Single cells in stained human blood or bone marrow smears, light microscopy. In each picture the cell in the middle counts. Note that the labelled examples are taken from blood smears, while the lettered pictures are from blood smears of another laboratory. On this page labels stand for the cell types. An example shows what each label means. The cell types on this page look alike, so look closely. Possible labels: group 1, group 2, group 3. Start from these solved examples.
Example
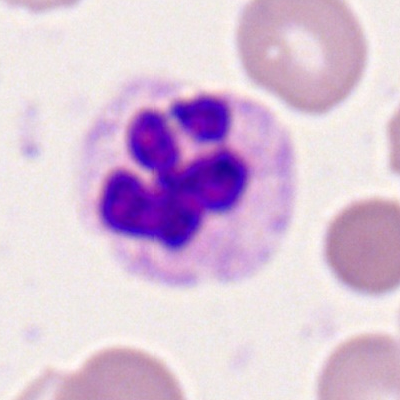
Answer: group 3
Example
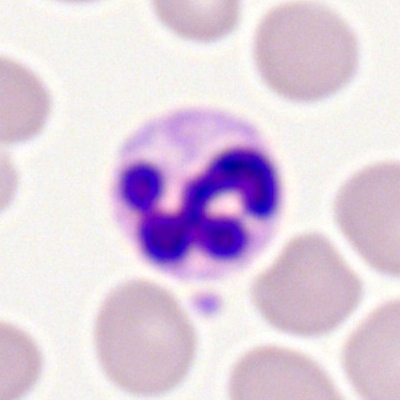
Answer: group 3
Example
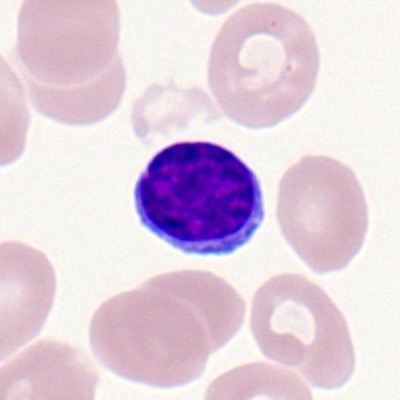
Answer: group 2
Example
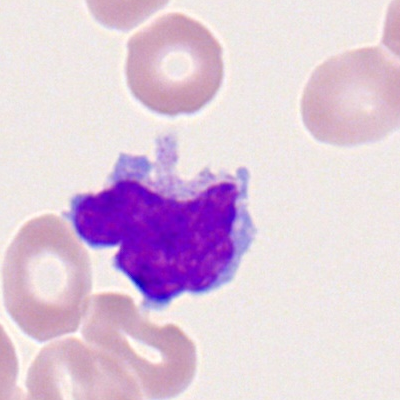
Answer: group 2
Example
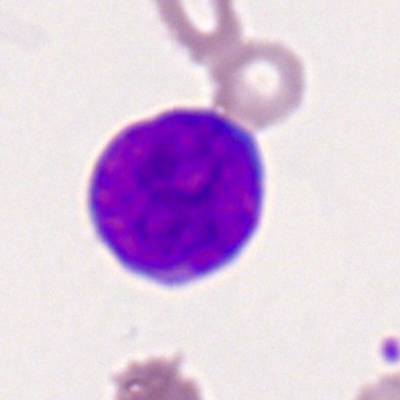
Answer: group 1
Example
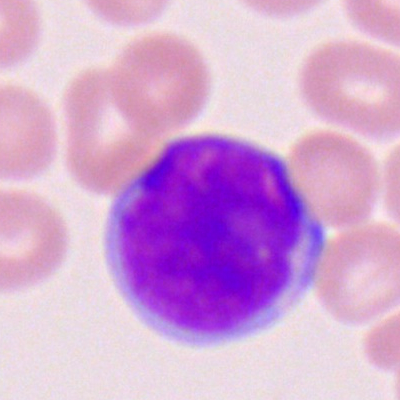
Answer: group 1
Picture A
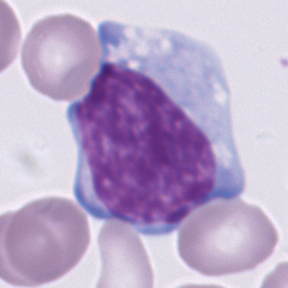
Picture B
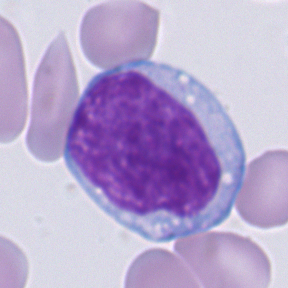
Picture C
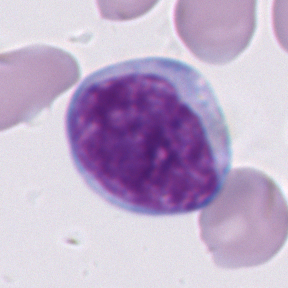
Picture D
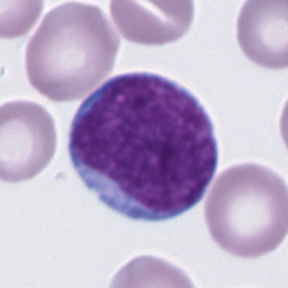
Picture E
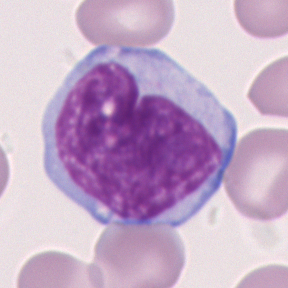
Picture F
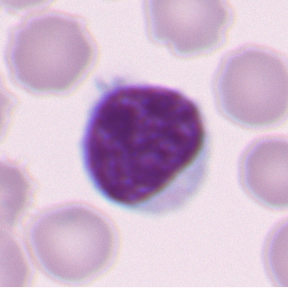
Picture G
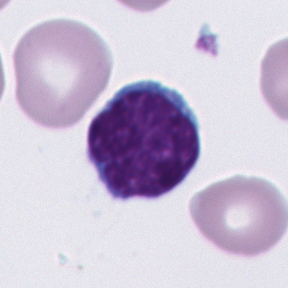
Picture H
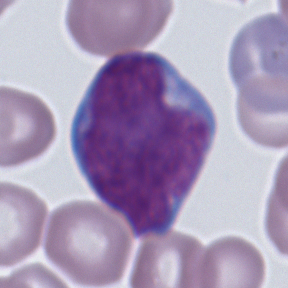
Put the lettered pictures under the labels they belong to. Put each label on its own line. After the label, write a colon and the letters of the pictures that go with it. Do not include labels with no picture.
group 1: A, B, C, D, E, H
group 2: F, G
